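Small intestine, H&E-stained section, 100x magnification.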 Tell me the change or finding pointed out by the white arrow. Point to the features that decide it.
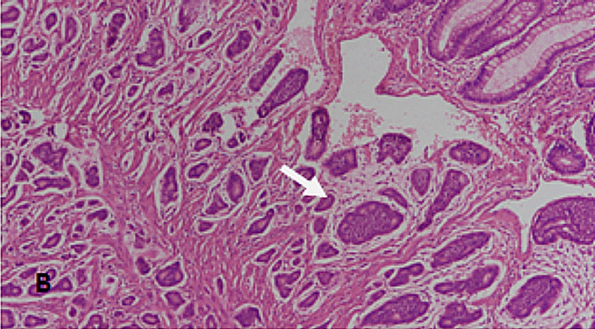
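Neuroendocrine tumor with nested architecture. Many rounded and irregular islands of densely packed dark purple cells. The islands are set in pink fibrous stroma. Normal intestinal glands lie at the upper right edge.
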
